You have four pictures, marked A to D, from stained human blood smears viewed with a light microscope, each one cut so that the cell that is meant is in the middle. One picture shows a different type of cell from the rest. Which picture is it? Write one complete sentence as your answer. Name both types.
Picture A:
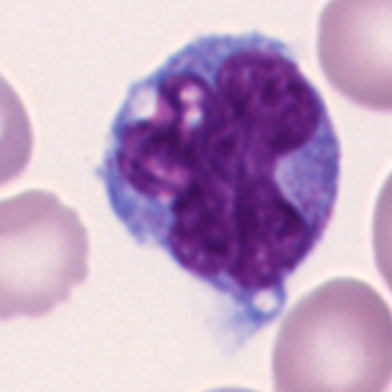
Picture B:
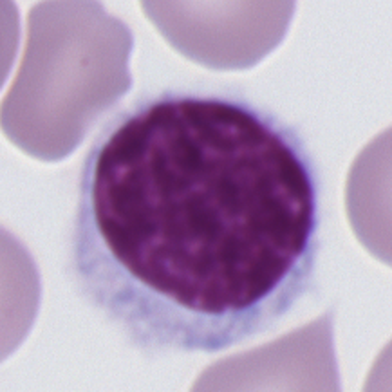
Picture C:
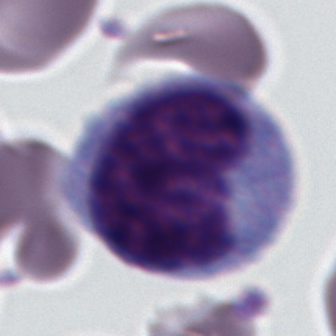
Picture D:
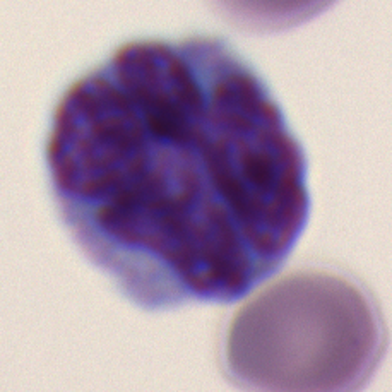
All pictures except B show monocytes; picture B shows a hairy cell.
